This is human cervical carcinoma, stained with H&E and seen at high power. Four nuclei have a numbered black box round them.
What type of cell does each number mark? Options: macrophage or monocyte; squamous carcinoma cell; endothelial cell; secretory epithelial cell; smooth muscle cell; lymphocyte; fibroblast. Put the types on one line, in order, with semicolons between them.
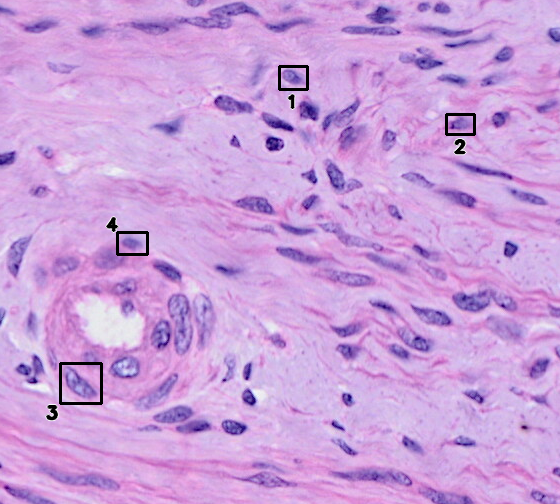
fibroblast; smooth muscle cell; smooth muscle cell; smooth muscle cell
